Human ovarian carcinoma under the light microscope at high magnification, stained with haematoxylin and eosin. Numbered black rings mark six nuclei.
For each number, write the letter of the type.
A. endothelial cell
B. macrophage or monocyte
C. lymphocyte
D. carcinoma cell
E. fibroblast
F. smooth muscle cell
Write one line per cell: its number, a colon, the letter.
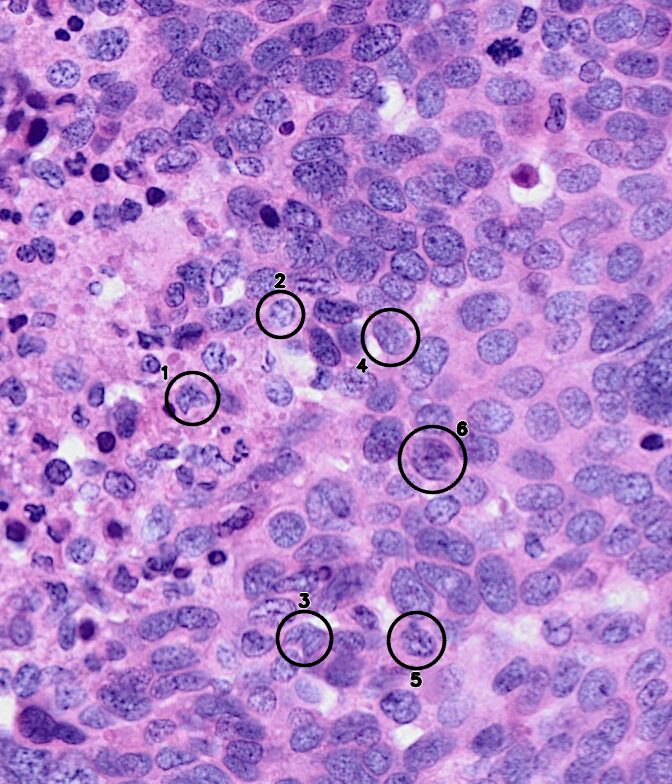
1: B
2: B
3: D
4: D
5: B
6: D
